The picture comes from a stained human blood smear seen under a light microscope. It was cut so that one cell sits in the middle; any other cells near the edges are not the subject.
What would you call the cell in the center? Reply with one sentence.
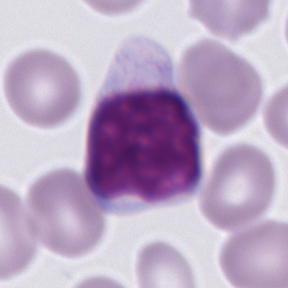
This crop has a large granular lymphocyte at its centre.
